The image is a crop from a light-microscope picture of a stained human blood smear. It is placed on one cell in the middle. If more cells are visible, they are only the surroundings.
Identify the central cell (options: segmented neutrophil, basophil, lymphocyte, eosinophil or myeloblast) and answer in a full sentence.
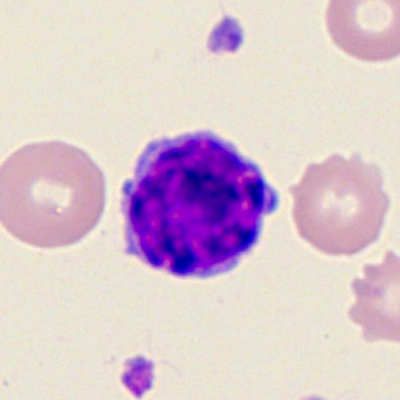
Here the cell in the middle is a lymphocyte.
